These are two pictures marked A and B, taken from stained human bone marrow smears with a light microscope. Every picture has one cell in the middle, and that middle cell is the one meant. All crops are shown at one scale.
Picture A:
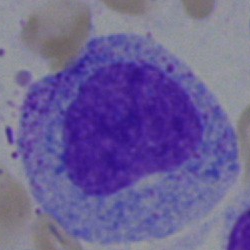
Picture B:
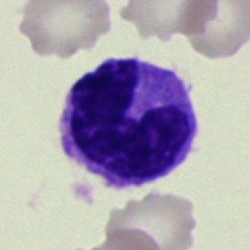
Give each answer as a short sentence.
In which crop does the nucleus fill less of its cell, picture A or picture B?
In picture A the nucleus takes up the smaller part of its cell.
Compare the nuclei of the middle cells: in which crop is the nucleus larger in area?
The nucleus in picture A is larger, with about 1.5 times the area of the one in picture B.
